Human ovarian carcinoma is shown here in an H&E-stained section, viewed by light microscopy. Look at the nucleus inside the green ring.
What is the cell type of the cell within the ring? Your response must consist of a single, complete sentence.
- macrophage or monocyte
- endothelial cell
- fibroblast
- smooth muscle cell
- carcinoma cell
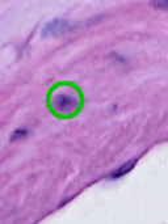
Students should answer that the cell within the ring is a smooth muscle cell.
